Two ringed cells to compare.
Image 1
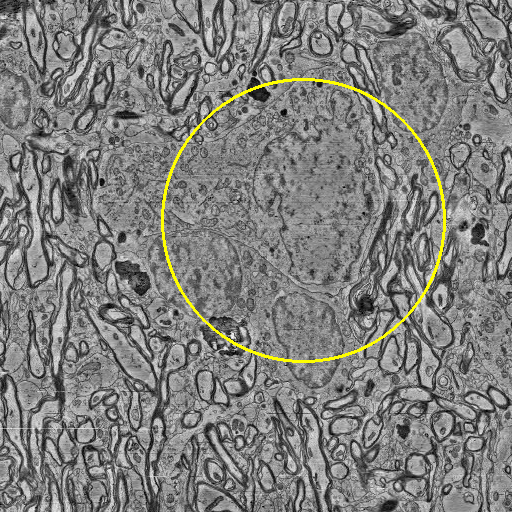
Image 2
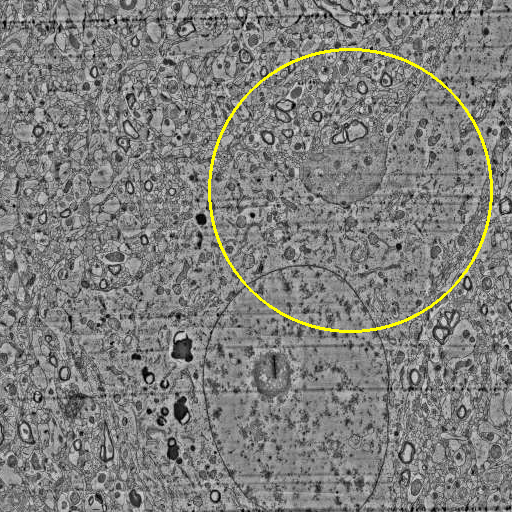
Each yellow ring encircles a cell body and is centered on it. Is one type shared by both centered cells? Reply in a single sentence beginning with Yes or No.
No, two types are found among the cells at the centers of the rings.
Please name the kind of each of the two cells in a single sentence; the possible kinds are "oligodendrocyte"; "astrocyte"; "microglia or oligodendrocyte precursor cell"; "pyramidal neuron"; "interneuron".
In the first picture the ring is centred on an interneuron, and in the second on an oligodendrocyte.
